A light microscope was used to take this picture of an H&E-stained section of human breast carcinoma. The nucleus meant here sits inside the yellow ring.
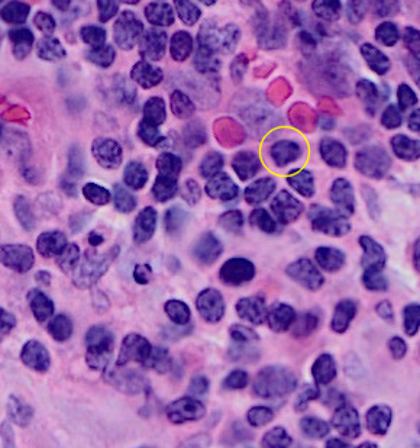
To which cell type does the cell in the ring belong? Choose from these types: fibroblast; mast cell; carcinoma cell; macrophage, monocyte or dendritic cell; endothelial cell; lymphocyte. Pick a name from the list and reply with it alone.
lymphocyte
